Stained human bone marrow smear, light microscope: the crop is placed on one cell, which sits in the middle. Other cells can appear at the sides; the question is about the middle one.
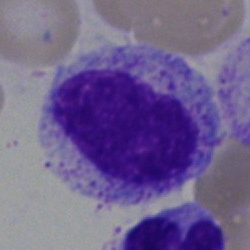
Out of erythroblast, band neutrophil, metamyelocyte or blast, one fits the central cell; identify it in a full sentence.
Centred in the crop is a metamyelocyte.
